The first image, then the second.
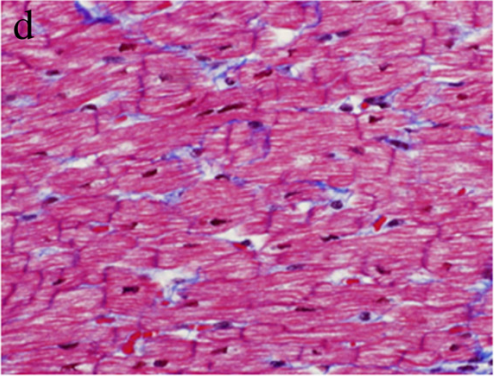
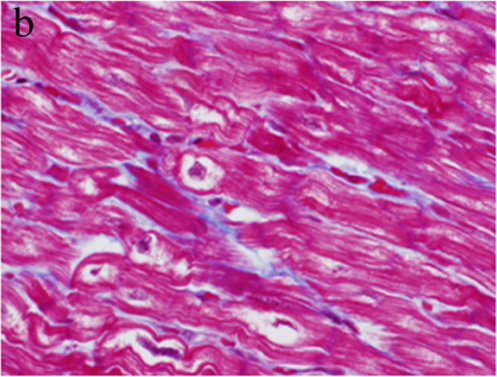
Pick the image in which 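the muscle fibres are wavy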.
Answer: The second image.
